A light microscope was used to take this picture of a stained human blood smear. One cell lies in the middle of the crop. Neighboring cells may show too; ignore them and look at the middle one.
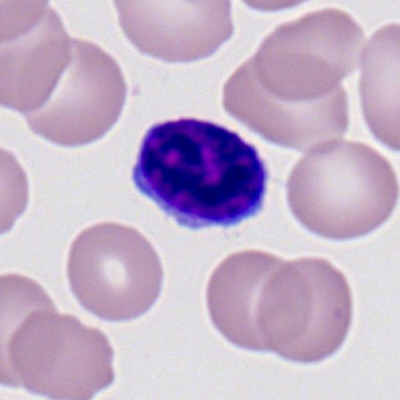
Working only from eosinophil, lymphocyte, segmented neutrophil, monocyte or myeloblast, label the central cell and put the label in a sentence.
In this crop, the cell at the very middle is a lymphocyte.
